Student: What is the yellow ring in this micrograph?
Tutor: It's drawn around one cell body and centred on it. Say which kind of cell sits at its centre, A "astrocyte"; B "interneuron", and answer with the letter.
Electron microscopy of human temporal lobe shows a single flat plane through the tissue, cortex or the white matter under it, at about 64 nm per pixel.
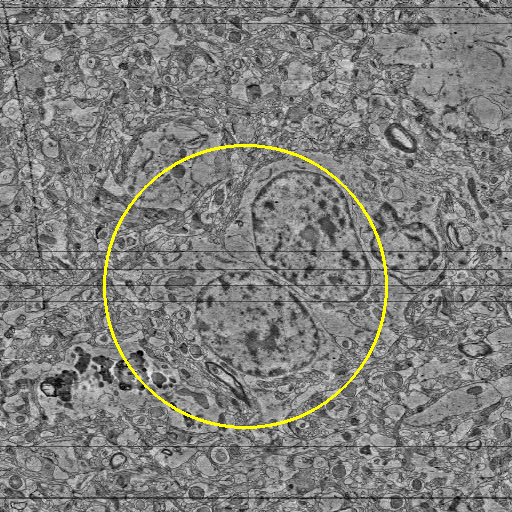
A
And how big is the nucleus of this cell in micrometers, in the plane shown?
The ringed cell's nucleus is about 8 micrometres long and 6 micrometres wide in this plane.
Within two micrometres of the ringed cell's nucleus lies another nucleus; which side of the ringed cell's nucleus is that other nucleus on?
The other nucleus is found to the upper right of it.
